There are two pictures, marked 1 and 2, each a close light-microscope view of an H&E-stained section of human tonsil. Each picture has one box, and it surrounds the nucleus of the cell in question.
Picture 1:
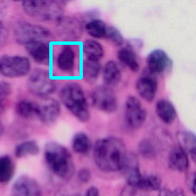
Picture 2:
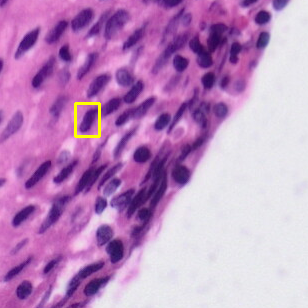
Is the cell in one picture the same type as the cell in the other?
no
